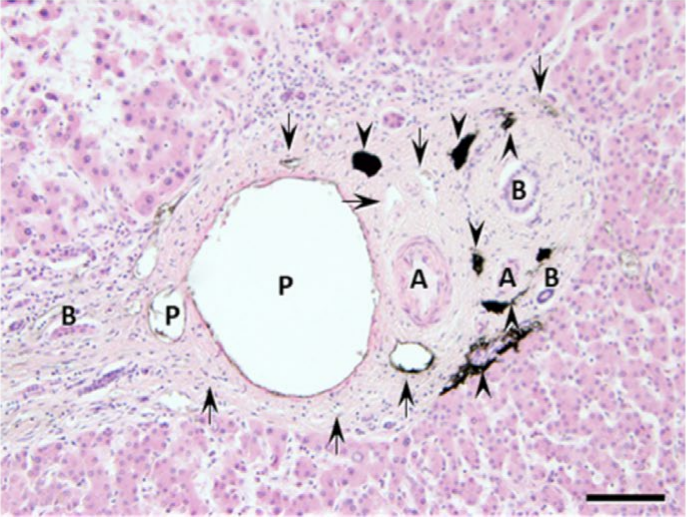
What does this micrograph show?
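This section shows a portal tract of the liver surrounded by pink plates of liver cells. In the centre of the connective tissue lies a large, empty, thin-walled interlobular vein, with a smaller vein to its left. Beside it are interlobular arteries with thick, layered, pink muscular walls, and small interlobular bile ducts lined by a single row of cuboidal cells with purple nuclei. The surrounding connective tissue is pale pink with scattered small nuclei.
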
